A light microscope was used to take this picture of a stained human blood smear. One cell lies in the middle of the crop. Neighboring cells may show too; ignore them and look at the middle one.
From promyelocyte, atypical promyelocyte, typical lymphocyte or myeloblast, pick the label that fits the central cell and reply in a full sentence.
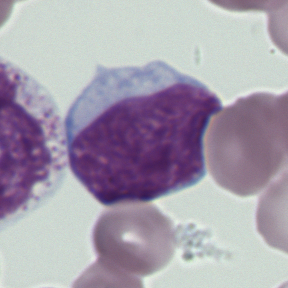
The center cell of this crop is a myeloblast.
